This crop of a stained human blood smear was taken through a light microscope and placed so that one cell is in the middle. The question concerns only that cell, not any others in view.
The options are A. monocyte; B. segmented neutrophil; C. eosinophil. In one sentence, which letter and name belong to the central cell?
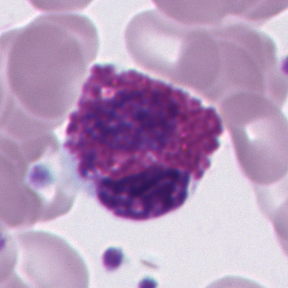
The cell positioned centrally is an eosinophil, as given in option C, which is correct.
